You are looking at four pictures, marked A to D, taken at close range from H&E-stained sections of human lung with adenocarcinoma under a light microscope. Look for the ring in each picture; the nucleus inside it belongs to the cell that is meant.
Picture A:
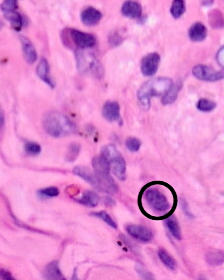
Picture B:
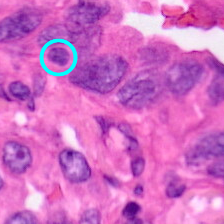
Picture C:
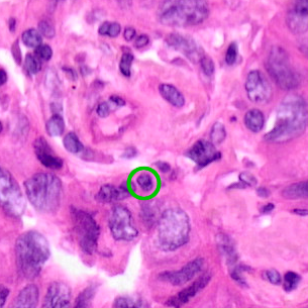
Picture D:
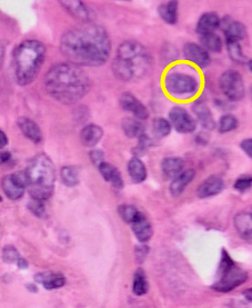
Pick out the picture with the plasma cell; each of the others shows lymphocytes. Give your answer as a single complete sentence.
The picture with the plasma cell is A.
